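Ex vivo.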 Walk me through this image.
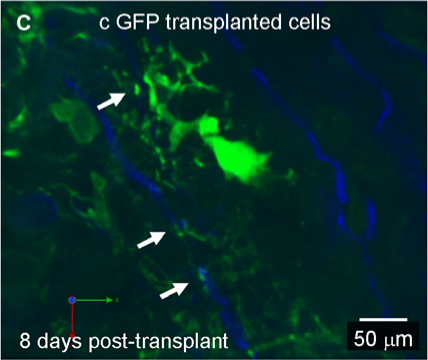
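A bright, compact cell body gives off a tangle of fine, beaded green processes, some of which reach down along thin blue linear fibres running diagonally through the field. Fainter green cell bodies lie out of focus in the background.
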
